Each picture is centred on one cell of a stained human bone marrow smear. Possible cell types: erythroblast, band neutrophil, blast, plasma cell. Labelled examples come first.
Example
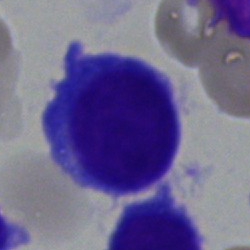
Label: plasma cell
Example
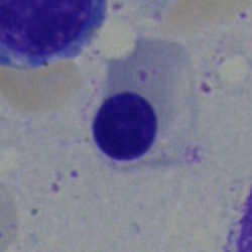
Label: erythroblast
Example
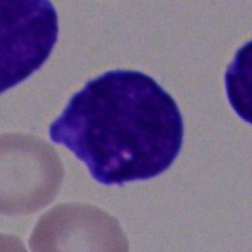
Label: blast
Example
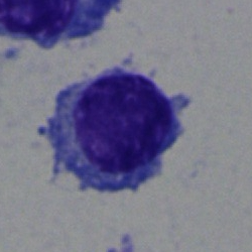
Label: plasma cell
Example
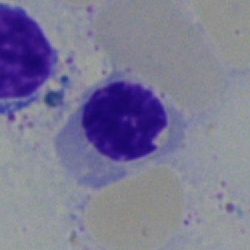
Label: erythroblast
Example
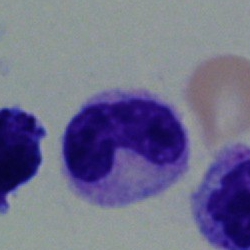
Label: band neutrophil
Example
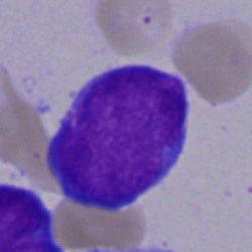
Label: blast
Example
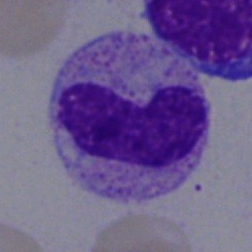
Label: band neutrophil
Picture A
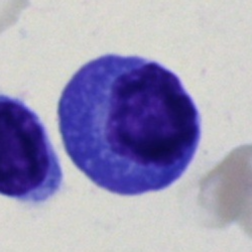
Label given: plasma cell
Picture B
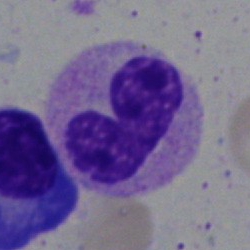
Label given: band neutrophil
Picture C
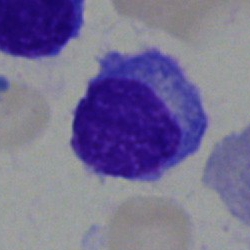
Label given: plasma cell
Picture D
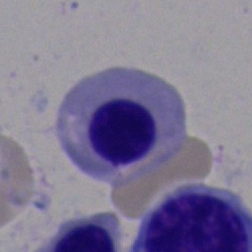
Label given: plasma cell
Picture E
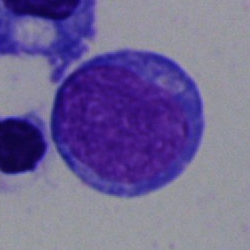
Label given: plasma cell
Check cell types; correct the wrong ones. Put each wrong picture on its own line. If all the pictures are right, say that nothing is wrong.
D: not plasma cell but erythroblast
E: not plasma cell but blast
